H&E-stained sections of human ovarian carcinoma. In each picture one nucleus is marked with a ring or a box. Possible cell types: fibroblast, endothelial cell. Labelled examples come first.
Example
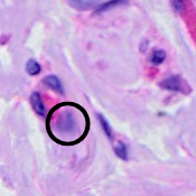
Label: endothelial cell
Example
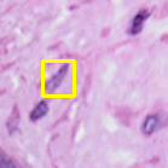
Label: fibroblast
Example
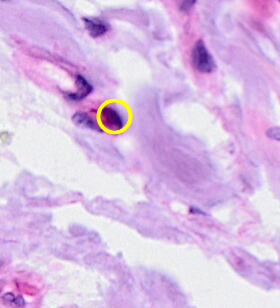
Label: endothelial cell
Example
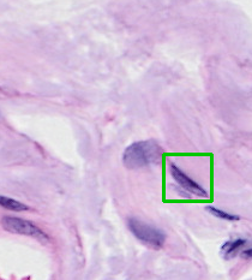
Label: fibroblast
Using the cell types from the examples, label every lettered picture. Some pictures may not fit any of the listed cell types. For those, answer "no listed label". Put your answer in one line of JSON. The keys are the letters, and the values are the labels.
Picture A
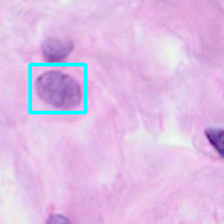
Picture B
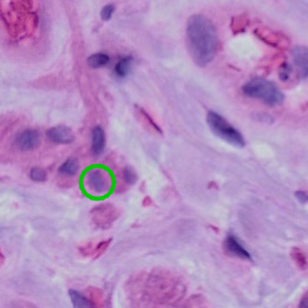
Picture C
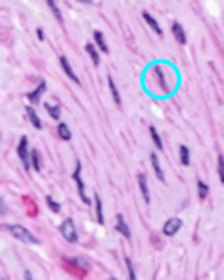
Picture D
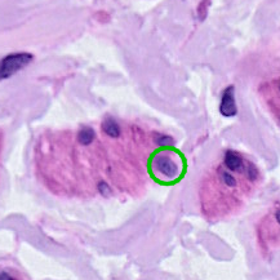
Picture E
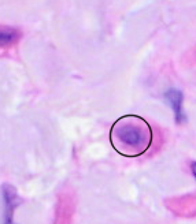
{"A": "fibroblast", "B": "no listed label", "C": "fibroblast", "D": "no listed label", "E": "no listed label"}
